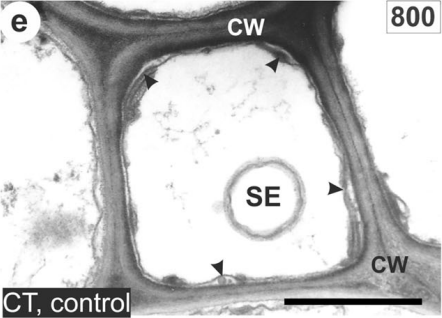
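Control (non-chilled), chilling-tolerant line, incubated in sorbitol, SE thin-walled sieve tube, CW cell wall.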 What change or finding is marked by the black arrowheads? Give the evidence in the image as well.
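Incipient plasmolysis. At the arrowheads a thin membrane lies detached just inside the thick wall.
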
